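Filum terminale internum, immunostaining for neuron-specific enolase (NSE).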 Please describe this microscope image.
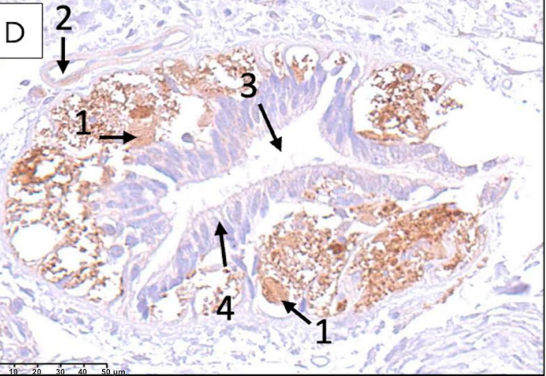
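A cross section of the central canal with its ependymal lining and the surrounding nervous tissue. The canal is a branching slit-like lumen bordered by tall columnar ependymal cells with elongated blue nuclei arranged radially. Outside this lining, rounded compartments are filled with brown-stained granular and clumped material, most densely in the lower right and upper left, with some denser brown bodies among it. A thin-walled blood vessel runs along the upper left border, and pale loose connective tissue with scattered blue nuclei surrounds the structure.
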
